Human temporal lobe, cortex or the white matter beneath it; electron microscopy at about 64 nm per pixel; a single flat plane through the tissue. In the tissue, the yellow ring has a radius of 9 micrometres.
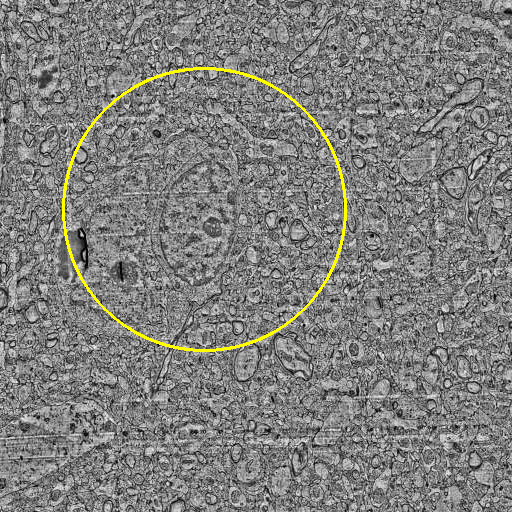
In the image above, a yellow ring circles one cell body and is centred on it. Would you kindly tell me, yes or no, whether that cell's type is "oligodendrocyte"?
yes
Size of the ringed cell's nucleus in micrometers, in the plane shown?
In this plane the nucleus is clearly longer than it is wide: roughly 8 by 5 micrometres.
